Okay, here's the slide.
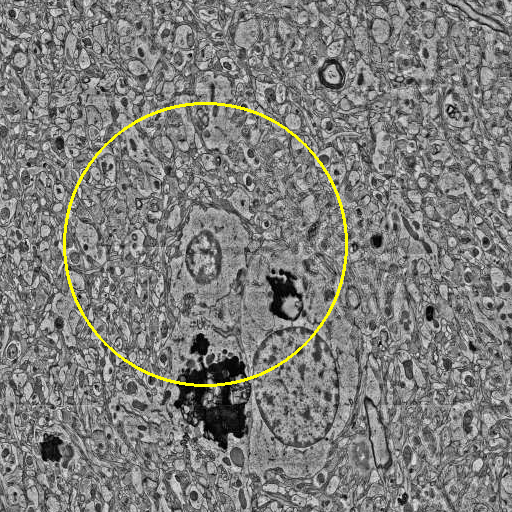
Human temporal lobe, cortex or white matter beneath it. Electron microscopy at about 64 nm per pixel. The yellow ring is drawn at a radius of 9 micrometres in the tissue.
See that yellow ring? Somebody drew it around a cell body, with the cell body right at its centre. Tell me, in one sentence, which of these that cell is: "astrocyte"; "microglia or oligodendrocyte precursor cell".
The cell in the middle of the ring is an astrocyte.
